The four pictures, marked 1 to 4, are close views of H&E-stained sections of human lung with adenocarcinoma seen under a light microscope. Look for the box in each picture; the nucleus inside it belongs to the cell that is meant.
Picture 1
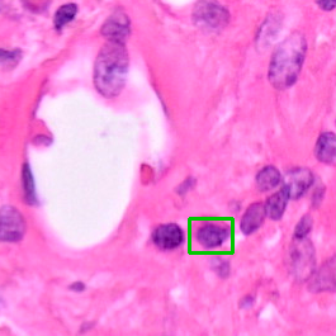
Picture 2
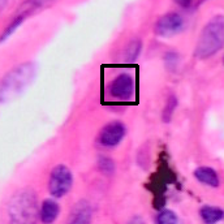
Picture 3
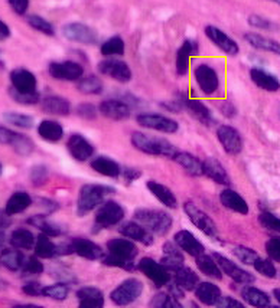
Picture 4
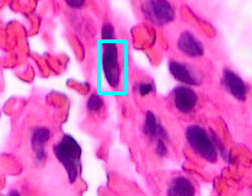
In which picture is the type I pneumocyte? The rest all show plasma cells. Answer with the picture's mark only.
4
